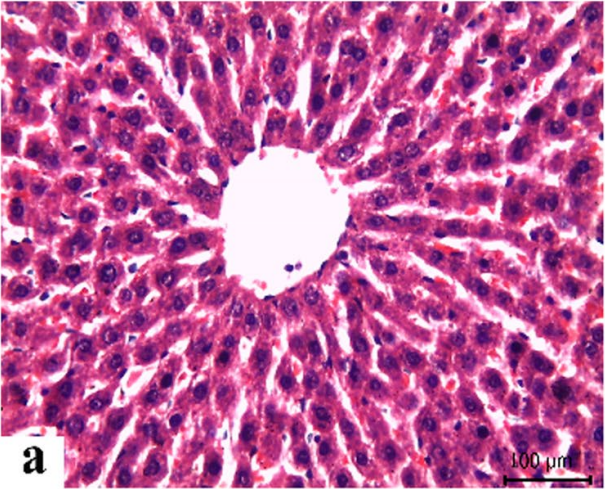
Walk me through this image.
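This is liver, with plates of hepatocytes radiating outward from a central vein, whose round empty lumen lies in the middle. The hepatocytes are polygonal cells with pink cytoplasm and round, centrally placed purple nuclei, some with a visible nucleolus. Between the cords run narrow, pale sinusoids with only a few red blood cells, and small dark flattened nuclei line them. The orderly spoke-like arrangement of the cords around the vein is well preserved.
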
